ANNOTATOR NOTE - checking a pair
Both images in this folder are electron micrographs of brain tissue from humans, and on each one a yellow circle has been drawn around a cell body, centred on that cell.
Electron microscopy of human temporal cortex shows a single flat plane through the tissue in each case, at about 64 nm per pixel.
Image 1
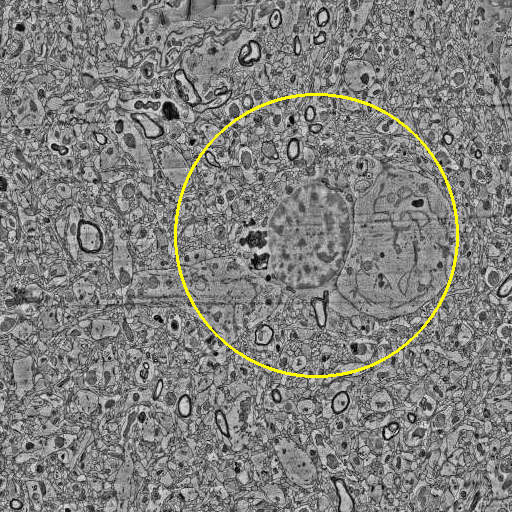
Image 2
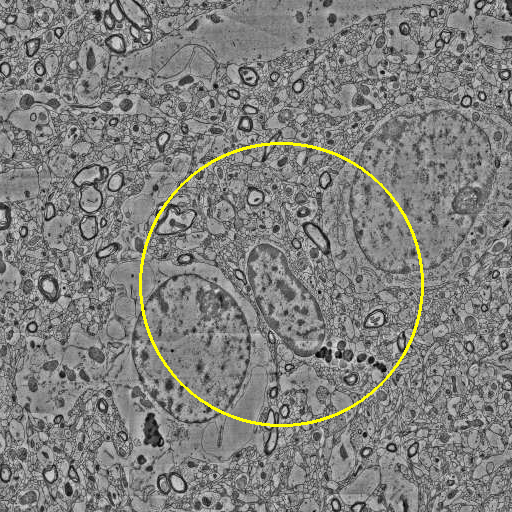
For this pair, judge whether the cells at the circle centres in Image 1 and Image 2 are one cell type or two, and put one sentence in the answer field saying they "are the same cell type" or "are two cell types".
For this pair, the cells at the circle centres in Images 1 and 2 are two cell types.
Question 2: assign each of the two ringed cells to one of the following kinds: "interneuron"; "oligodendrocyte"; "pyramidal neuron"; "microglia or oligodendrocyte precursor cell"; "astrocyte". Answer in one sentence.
The two cells are an oligodendrocyte in the first picture and a microglial cell or oligodendrocyte precursor cell in the second.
